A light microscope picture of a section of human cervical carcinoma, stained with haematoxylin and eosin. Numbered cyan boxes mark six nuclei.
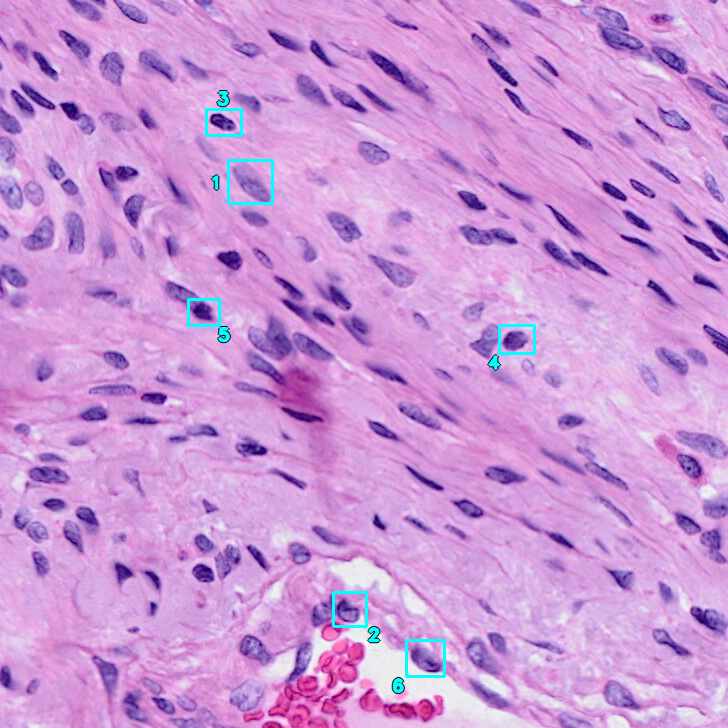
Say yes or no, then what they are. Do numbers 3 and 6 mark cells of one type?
No, cell 3 is a lymphocyte; cell 6 is an endothelial cell.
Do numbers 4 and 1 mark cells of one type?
No, cell number 4 is a lymphocyte and cell number 1 is a fibroblast.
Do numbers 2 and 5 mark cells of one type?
No, unlike cell 2, which is an endothelial cell, cell 5 is a lymphocyte.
